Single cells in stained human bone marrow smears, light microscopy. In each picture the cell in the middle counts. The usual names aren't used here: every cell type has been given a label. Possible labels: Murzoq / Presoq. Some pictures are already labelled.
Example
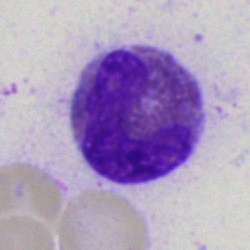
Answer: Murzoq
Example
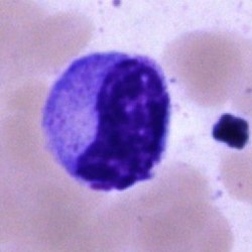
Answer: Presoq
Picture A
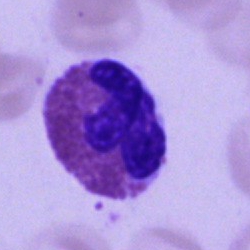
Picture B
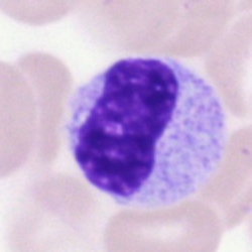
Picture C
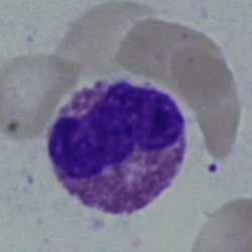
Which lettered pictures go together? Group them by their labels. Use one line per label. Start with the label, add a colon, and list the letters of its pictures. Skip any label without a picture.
Murzoq: A, C
Presoq: B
